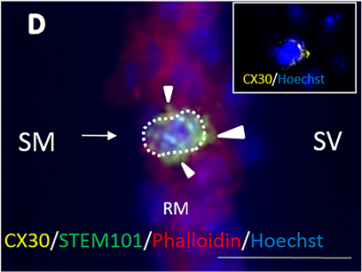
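Single rounded cell lying in Reissner's membrane, the thin sheet between the scala media and the scala vestibuli. Its nucleus is a rounded blue body, traced by a dotted line. Green label fills a narrow rim of cytoplasm around the nucleus. Small yellow dots sit at the edge of the cell, outside the nucleus. The membrane around it is faintly red, with few other nuclei nearby.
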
